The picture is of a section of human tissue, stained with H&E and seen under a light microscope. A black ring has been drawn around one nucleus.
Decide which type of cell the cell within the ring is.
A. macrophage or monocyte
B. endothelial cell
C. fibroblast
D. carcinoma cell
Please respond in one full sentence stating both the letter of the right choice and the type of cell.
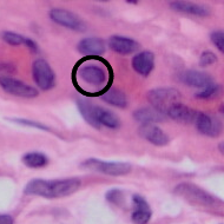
The choice that fits is option B, as the cell within the ring is an endothelial cell.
